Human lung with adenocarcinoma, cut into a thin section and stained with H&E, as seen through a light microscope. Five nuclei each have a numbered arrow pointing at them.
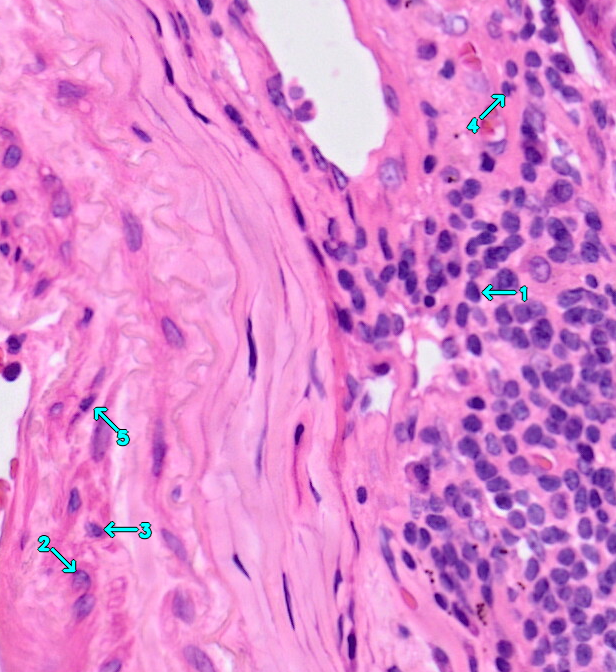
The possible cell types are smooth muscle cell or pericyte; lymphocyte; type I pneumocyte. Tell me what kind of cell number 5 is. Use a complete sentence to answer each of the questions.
Within this field of view, the cell labelled 5 is a smooth muscle cell or pericyte.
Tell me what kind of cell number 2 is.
The cell pointed out by number 2 is a smooth muscle cell or pericyte.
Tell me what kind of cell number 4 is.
Cell 4 should be recorded as a lymphocyte.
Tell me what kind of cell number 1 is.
The mark numbered 1 indicates the nucleus of a lymphocyte.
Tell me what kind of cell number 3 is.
The cell indicated by marker 3 is a smooth muscle cell or pericyte in this section.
